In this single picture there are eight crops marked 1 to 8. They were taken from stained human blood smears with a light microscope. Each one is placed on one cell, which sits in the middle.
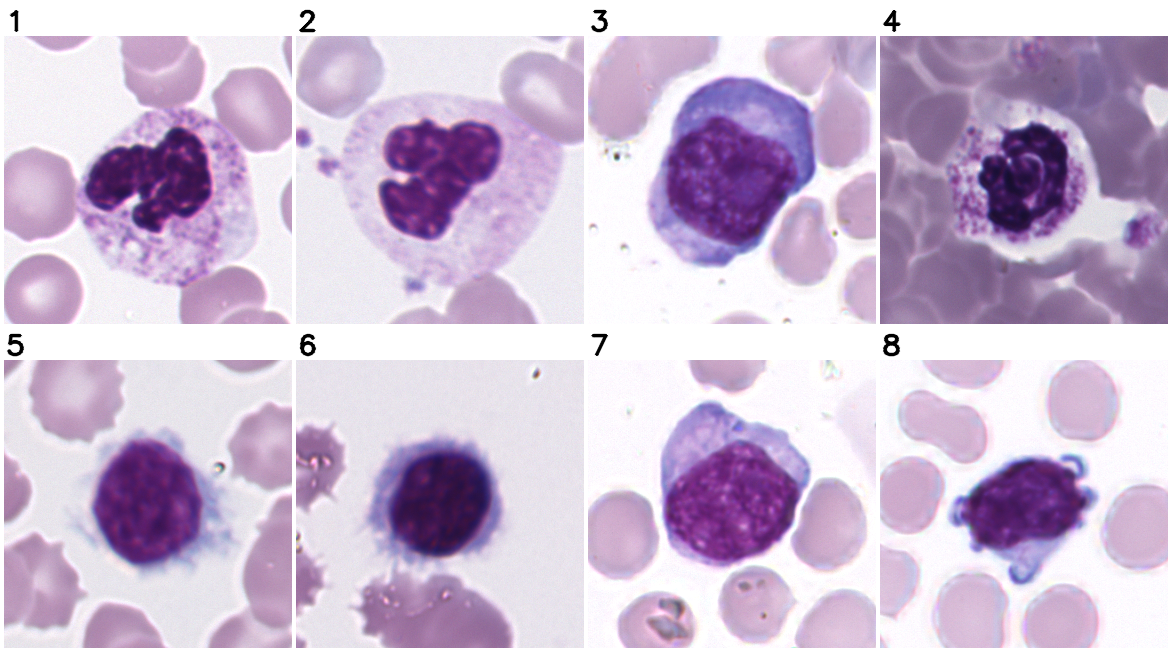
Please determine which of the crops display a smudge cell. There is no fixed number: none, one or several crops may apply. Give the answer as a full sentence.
Checked all crops, and not one shows a smudge cell.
